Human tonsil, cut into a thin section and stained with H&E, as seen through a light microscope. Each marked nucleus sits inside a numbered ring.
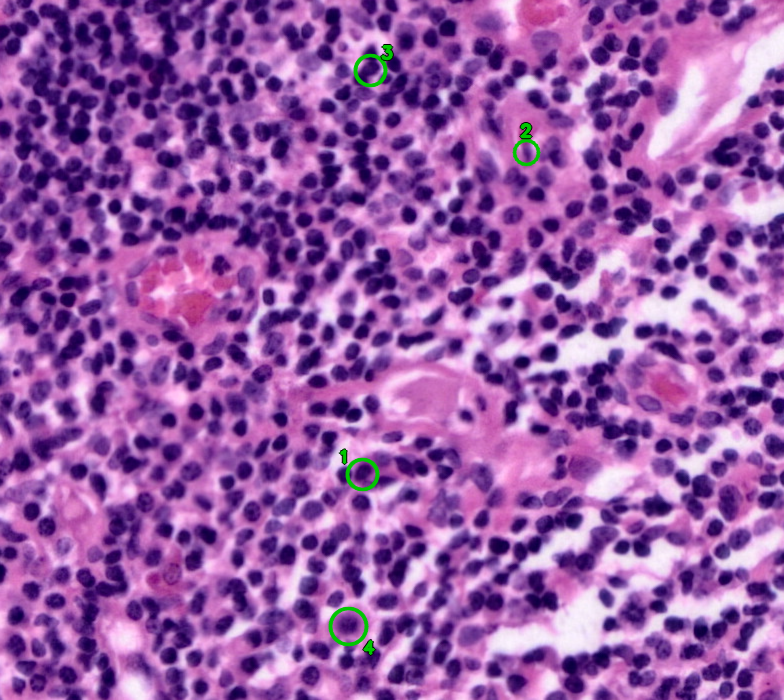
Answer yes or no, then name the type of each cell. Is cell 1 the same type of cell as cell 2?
No, cell 1 is a plasma cell, and cell 2, on the other hand, is an endothelial cell.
